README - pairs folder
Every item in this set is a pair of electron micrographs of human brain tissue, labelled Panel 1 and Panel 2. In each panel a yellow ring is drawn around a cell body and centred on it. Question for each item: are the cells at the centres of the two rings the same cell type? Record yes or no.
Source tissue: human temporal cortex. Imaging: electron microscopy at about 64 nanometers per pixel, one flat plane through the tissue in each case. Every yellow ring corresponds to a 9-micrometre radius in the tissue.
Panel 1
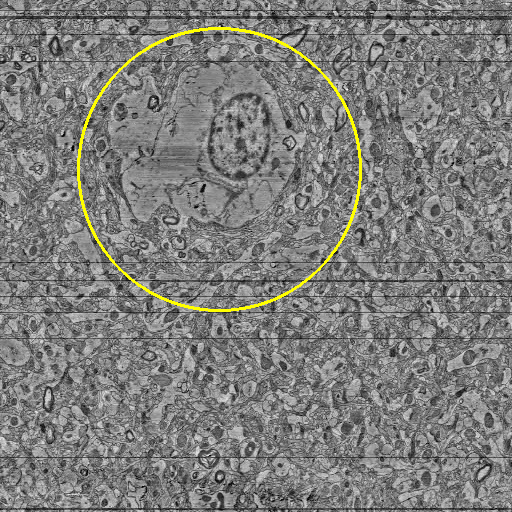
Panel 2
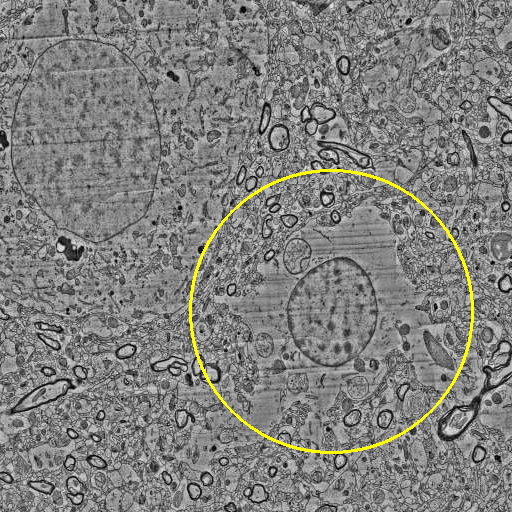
yes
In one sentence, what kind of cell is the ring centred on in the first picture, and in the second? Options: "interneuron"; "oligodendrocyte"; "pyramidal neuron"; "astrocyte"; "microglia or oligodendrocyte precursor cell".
Each of the ringed cells, first and second, is an astrocyte.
